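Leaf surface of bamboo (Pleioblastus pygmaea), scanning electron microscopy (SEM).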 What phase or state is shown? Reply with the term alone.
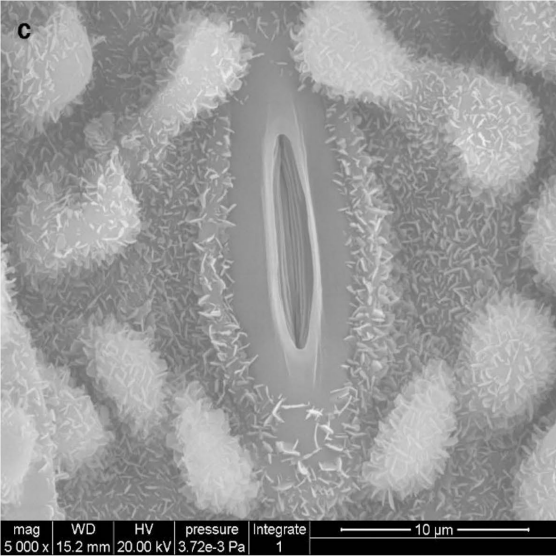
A: Open.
